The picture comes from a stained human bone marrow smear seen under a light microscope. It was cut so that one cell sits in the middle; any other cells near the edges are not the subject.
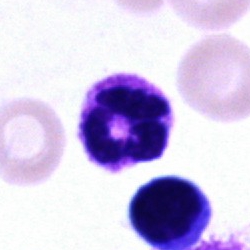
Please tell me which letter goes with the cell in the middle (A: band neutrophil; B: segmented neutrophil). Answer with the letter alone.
B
